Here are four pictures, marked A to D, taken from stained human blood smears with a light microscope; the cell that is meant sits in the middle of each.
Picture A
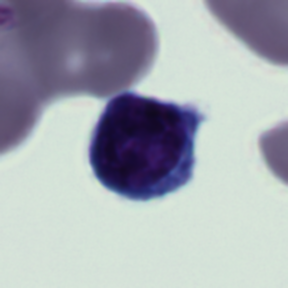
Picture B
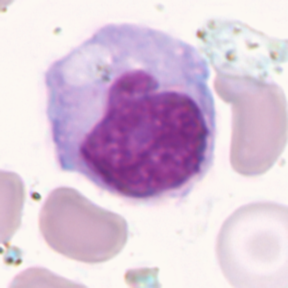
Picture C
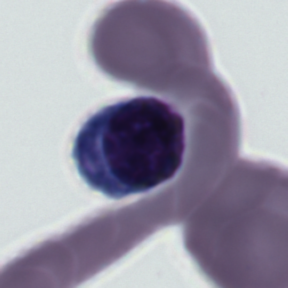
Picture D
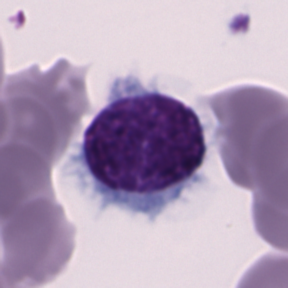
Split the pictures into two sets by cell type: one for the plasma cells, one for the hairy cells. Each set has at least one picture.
A: plasma cell
B: plasma cell
C: plasma cell
D: hairy cell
